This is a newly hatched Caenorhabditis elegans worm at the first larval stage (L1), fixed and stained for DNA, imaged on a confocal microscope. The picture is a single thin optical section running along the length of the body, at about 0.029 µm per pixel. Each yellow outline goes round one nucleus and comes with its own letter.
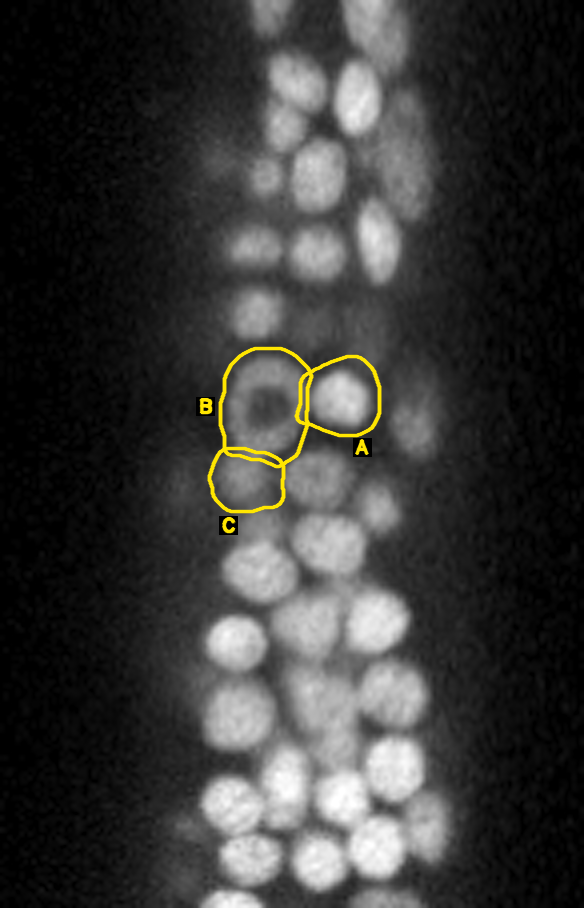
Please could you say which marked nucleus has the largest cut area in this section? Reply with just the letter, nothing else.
B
